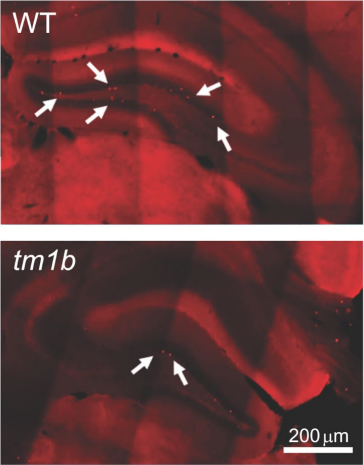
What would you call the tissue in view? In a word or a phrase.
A: Hippocampus.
